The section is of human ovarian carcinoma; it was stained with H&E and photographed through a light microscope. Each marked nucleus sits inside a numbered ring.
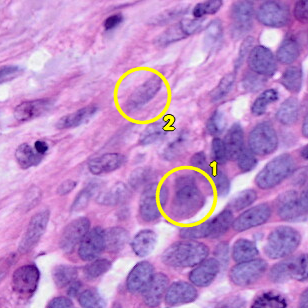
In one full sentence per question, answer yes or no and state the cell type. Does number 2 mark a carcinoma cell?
No, number 2 is not a carcinoma cell but a fibroblast.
